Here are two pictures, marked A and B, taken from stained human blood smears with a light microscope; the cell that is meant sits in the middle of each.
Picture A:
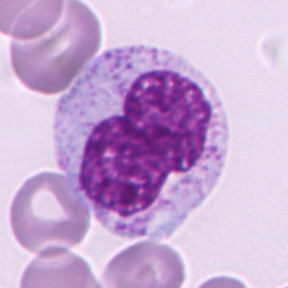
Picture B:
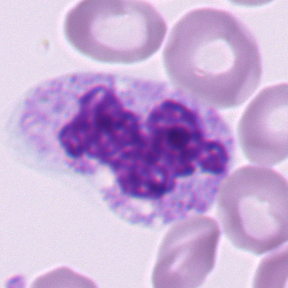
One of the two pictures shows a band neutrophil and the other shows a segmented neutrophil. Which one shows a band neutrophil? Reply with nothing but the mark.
A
